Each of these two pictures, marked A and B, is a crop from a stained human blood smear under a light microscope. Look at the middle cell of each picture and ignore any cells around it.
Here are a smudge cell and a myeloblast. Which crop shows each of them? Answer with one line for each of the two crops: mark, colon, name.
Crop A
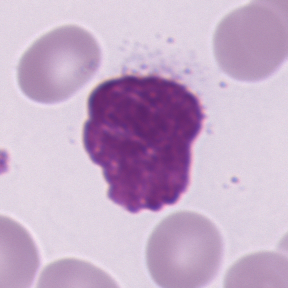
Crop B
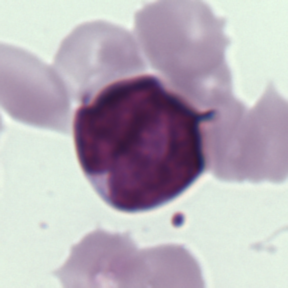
A: smudge cell
B: myeloblast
